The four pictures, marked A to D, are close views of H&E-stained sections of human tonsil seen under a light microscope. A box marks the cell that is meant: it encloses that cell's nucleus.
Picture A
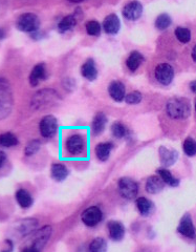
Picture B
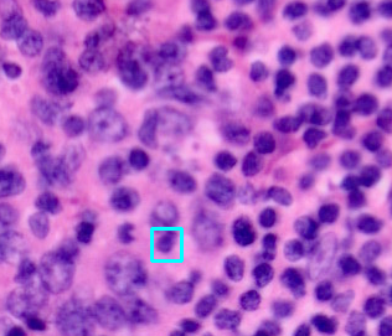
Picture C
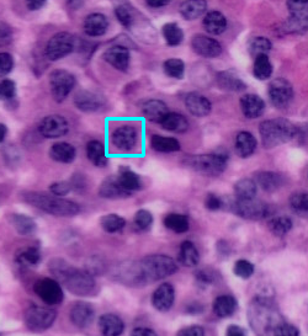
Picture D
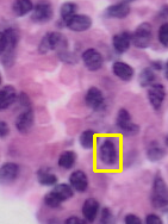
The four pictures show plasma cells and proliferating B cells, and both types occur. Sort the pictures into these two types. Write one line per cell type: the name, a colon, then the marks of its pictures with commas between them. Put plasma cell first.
plasma cell: A, C, D
proliferating B cell: B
